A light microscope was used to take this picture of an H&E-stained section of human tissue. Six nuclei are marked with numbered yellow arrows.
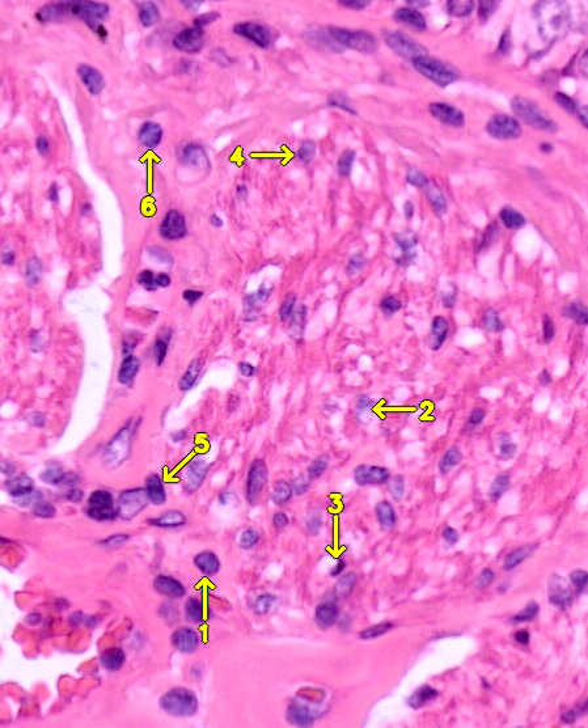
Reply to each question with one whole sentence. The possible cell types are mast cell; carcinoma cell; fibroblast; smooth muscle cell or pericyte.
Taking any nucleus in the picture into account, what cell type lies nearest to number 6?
It is a fibroblast whose nucleus is nearest to number 6.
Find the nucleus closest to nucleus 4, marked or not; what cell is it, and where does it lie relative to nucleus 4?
Just to the right of nucleus 4 lies the nearest nucleus, which belongs to a smooth muscle cell or pericyte.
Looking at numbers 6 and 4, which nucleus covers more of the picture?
The larger nucleus is 6, at roughly 1.5 times the area of 4.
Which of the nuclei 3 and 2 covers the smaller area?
The smaller nucleus is 3, and 2 covers roughly 1.5 times its area.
